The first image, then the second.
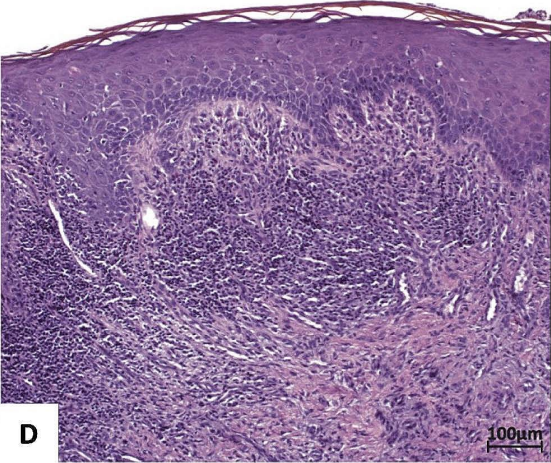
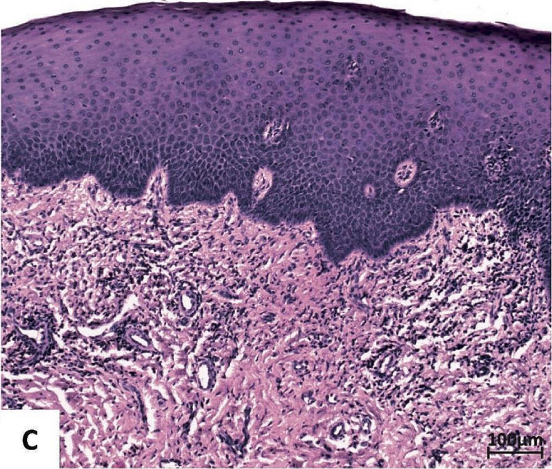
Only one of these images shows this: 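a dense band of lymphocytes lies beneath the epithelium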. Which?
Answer: The first image.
